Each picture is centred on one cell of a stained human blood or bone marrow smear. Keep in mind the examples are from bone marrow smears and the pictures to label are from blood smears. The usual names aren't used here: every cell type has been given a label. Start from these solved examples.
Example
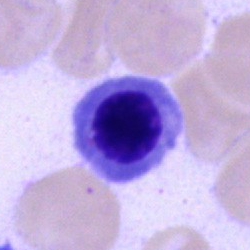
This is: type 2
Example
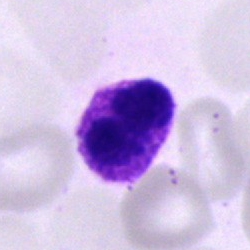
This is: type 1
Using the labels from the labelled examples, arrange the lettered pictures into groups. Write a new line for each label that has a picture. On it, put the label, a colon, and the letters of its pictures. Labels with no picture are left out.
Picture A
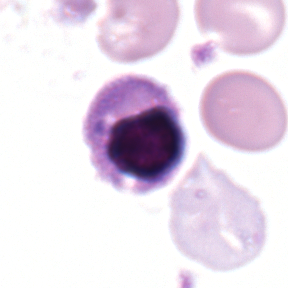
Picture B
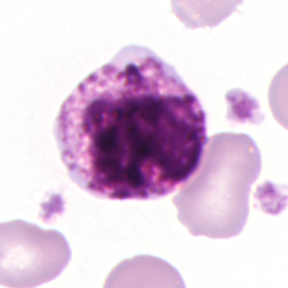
type 2: A
type 1: B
